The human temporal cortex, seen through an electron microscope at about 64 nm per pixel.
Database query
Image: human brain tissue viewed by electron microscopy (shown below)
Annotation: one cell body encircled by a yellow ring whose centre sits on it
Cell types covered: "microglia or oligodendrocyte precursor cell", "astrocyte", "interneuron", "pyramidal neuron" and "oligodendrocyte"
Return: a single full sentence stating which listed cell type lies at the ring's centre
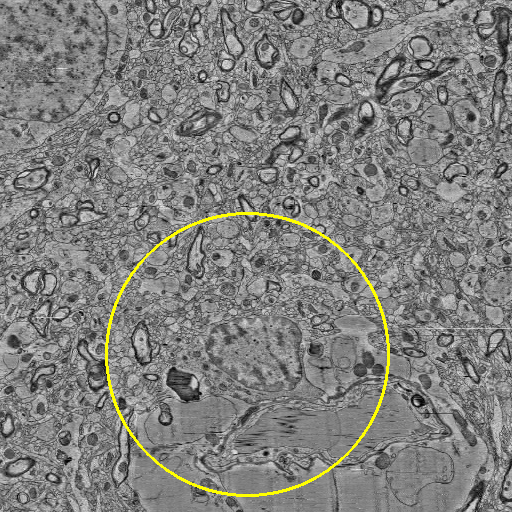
In the image, the cell lying at the ring's centre is an oligodendrocyte.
